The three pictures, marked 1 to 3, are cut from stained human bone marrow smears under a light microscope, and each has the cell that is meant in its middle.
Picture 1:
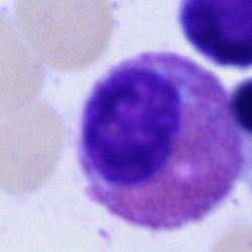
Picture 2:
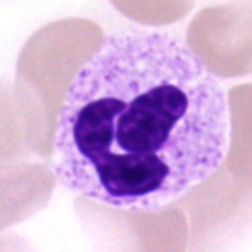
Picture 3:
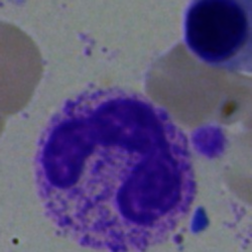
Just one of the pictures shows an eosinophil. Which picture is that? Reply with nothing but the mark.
1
